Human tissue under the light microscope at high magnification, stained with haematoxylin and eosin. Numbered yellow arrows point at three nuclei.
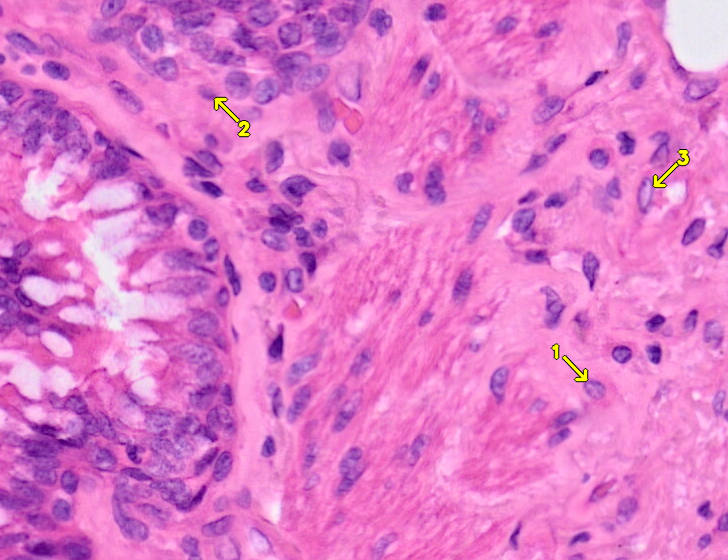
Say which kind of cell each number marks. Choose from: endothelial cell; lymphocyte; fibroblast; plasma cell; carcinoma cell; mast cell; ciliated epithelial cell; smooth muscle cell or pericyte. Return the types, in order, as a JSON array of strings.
["mast cell", "mast cell", "endothelial cell"]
